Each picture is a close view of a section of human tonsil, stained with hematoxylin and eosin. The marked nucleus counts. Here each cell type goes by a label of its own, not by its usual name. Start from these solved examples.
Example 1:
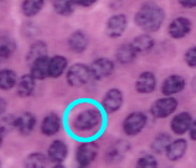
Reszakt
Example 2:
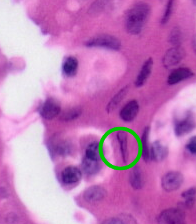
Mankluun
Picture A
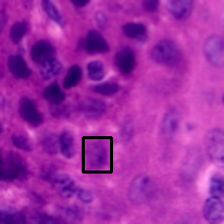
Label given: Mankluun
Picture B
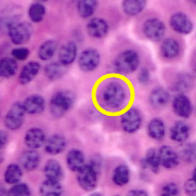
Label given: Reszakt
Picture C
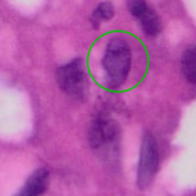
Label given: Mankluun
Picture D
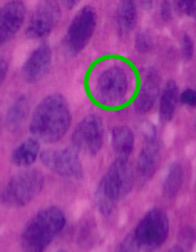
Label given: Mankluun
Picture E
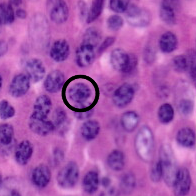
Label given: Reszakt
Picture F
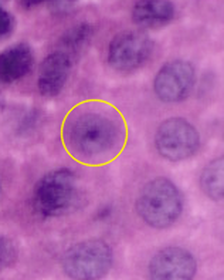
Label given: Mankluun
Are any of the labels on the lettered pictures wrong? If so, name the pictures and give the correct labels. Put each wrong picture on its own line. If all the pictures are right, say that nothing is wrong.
Every label is right.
